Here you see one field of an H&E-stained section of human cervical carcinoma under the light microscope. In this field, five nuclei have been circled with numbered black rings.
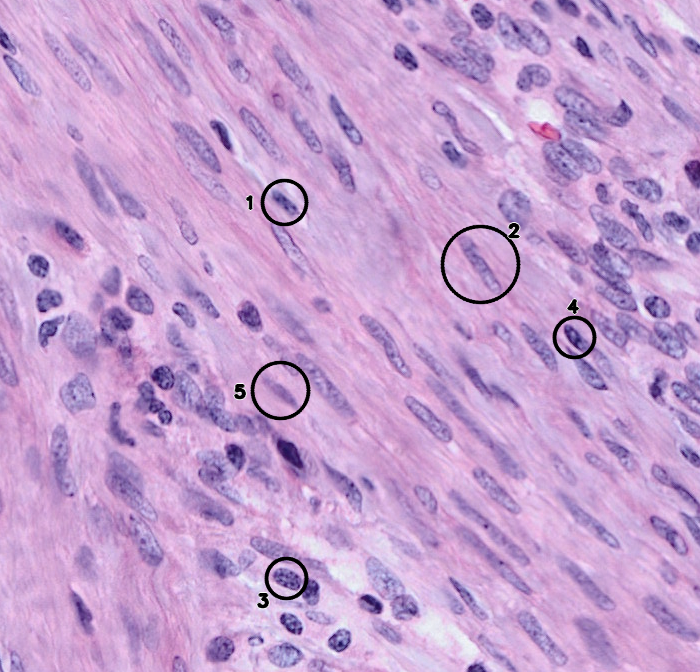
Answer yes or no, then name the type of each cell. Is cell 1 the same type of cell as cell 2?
No, here cell 1 is a lymphocyte, whereas cell 2 is a smooth muscle cell.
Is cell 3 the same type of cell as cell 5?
No, cell 3 is a lymphocyte, whereas cell 5, for its part, is a fibroblast.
